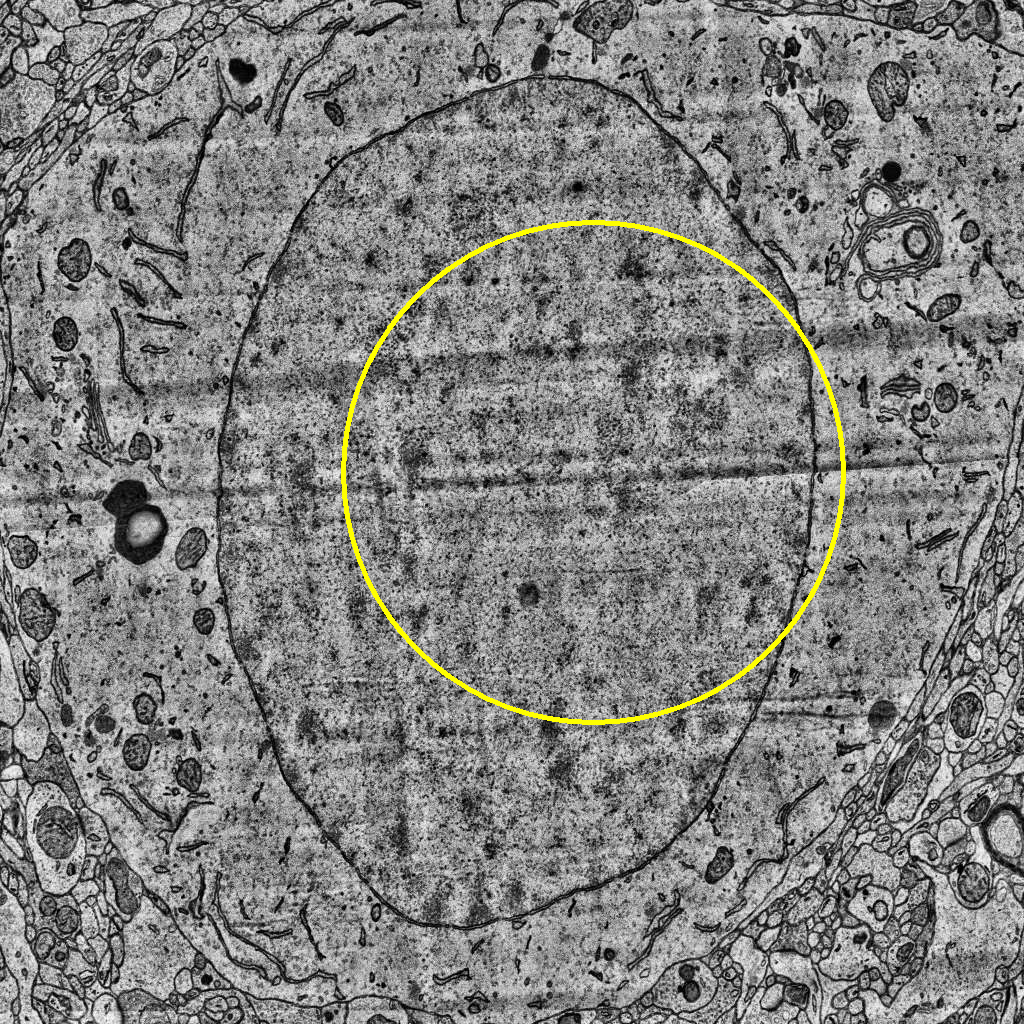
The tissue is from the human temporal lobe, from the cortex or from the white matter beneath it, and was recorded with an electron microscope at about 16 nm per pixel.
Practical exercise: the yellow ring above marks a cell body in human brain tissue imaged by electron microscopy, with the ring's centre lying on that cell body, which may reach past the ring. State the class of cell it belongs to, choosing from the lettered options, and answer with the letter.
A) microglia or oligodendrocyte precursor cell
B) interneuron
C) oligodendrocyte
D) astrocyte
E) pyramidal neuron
E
